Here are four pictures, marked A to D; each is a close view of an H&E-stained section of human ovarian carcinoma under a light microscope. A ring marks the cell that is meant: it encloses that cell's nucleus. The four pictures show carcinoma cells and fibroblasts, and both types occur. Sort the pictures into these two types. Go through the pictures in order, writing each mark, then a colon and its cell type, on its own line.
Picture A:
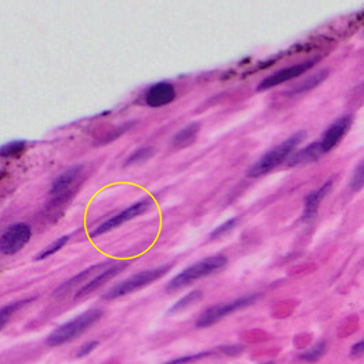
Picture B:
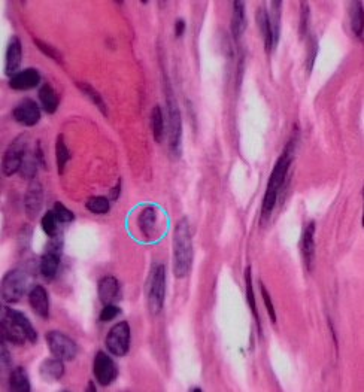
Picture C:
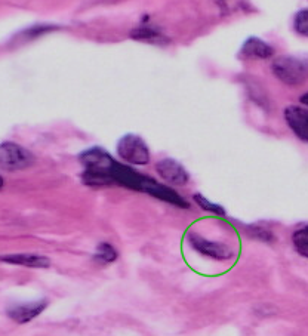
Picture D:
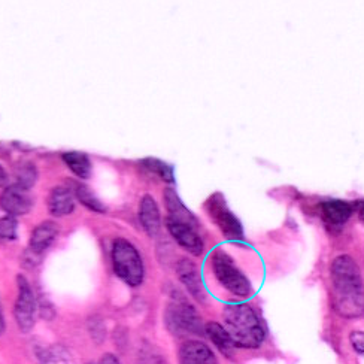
A: fibroblast
B: fibroblast
C: fibroblast
D: carcinoma cell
